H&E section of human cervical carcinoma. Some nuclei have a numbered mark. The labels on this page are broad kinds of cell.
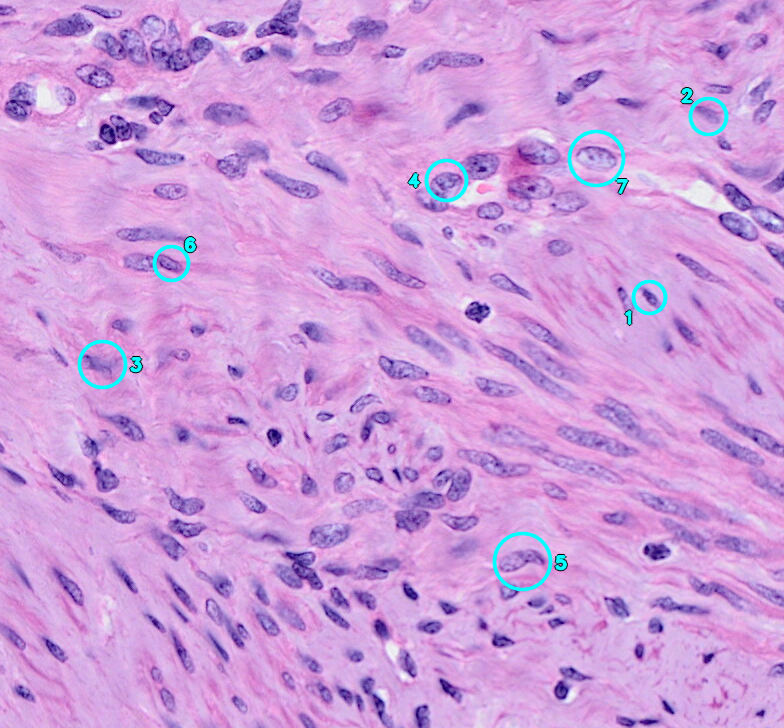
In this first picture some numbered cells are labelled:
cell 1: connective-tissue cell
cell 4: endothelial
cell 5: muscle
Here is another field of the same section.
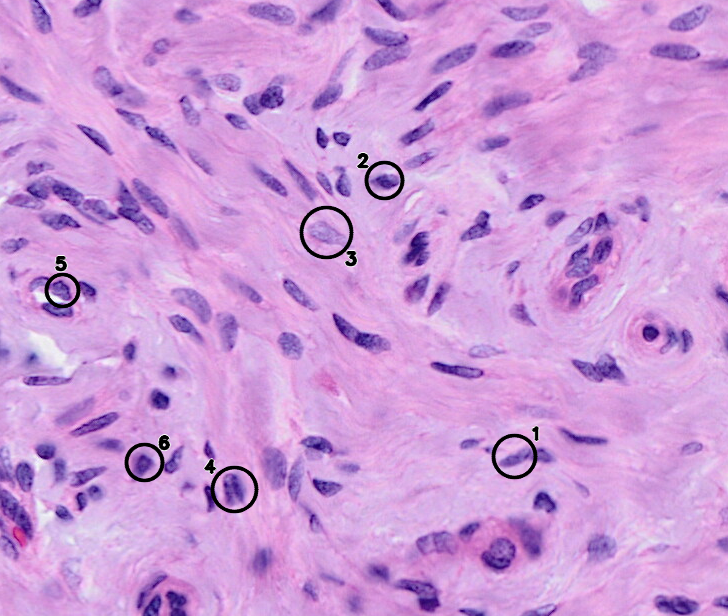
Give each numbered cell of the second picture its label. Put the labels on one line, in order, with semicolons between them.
connective-tissue cell; connective-tissue cell; muscle; connective-tissue cell; endothelial; connective-tissue cell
